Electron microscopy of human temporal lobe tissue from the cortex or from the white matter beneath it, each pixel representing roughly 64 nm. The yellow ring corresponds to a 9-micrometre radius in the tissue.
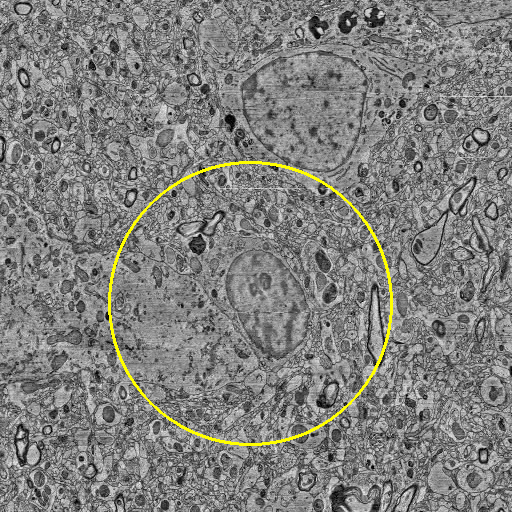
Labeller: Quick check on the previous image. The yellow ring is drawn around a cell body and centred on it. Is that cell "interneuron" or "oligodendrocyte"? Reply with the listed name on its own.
oligodendrocyte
